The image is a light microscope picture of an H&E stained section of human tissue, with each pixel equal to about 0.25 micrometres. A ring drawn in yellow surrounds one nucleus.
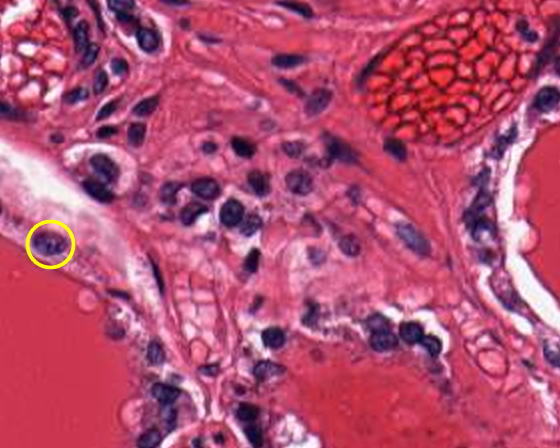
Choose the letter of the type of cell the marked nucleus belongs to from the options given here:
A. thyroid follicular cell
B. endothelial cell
A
